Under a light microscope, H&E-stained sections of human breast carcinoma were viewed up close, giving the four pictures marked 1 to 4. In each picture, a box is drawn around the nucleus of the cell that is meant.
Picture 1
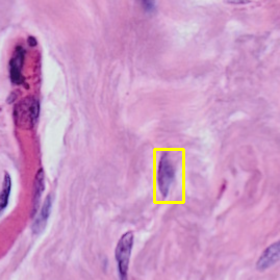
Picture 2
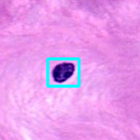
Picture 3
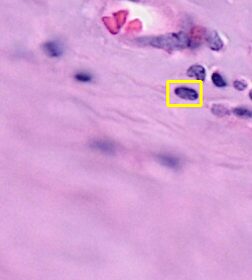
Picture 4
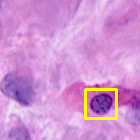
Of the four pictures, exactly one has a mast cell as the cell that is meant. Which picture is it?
4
